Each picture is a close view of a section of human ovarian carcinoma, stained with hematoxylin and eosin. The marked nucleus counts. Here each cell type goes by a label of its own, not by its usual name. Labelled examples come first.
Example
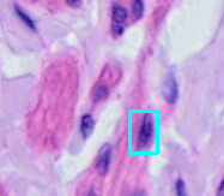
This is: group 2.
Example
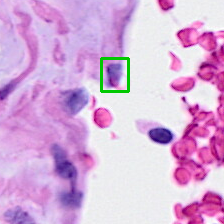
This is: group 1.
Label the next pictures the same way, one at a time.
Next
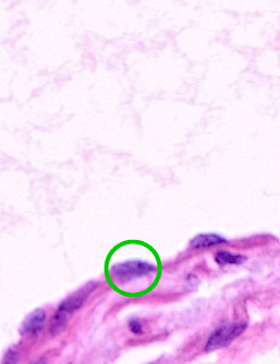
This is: group 1.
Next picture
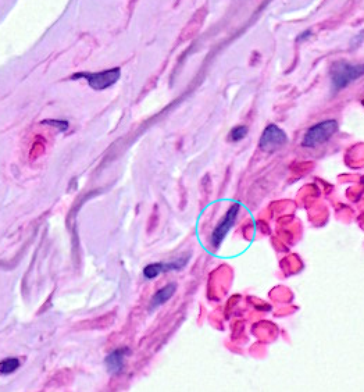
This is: group 1.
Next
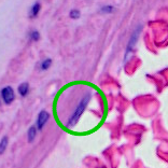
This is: group 1.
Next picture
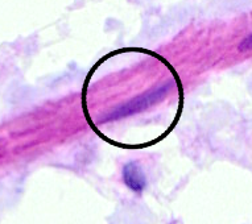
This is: group 2.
